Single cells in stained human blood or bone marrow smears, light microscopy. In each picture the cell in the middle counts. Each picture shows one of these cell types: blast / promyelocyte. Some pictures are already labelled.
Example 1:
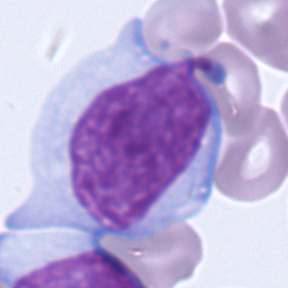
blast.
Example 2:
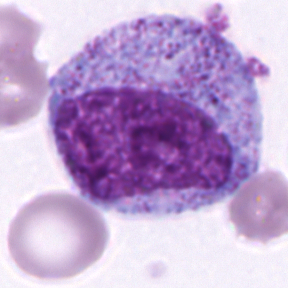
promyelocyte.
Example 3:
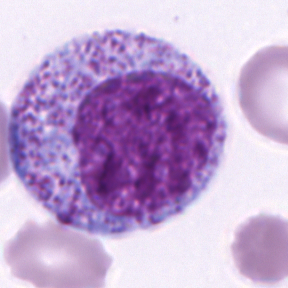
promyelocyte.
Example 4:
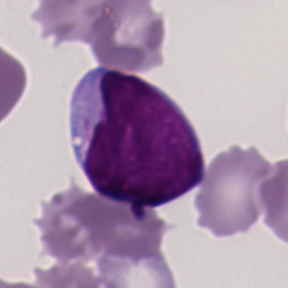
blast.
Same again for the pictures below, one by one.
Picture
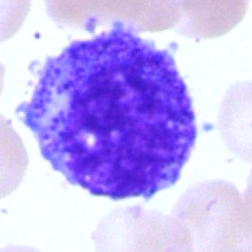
promyelocyte.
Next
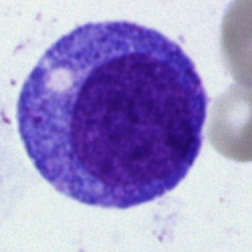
promyelocyte.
